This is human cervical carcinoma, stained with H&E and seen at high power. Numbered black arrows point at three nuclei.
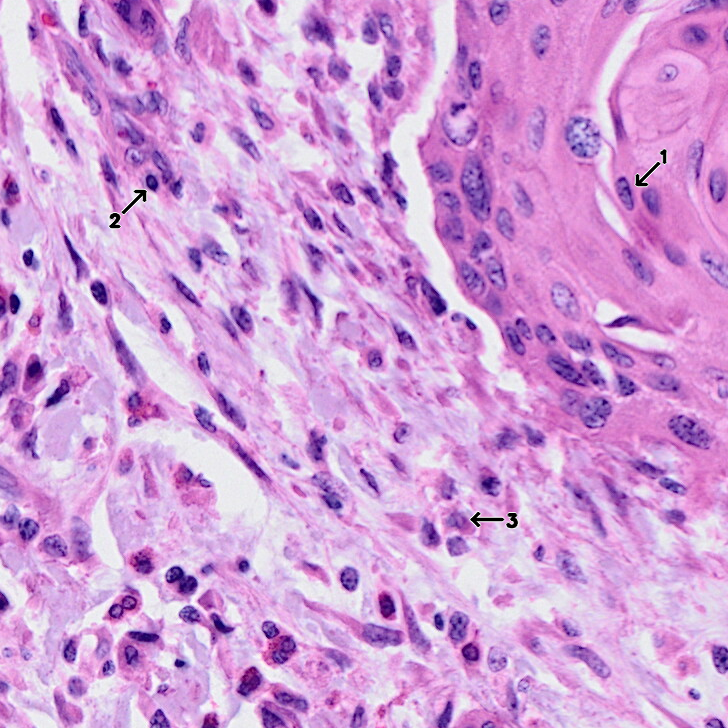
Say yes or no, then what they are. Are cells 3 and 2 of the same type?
No, cell 3 is a macrophage or monocyte; cell 2 is a lymphocyte.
